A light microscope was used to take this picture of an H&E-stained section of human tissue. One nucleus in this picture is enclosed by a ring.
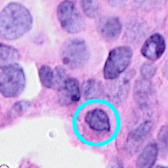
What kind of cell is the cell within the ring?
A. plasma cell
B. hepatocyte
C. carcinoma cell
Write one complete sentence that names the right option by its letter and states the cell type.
Option C, which has the cell within the ring as a carcinoma cell, is the correct choice.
